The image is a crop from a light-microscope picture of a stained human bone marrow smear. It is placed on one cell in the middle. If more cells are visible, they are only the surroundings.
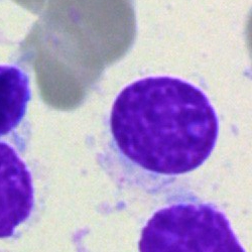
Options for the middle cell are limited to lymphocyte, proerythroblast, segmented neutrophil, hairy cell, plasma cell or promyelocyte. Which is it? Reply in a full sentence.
In this smear crop, the middle cell is a lymphocyte.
